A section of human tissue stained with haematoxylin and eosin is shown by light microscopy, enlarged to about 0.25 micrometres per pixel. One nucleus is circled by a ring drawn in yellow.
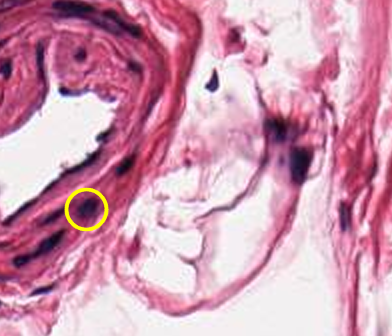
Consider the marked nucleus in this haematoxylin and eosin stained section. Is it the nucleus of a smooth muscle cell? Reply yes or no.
yes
